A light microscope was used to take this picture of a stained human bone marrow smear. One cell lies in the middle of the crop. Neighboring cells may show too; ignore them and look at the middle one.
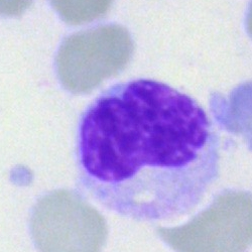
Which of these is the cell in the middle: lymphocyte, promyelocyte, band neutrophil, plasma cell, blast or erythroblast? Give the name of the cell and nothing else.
band neutrophil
